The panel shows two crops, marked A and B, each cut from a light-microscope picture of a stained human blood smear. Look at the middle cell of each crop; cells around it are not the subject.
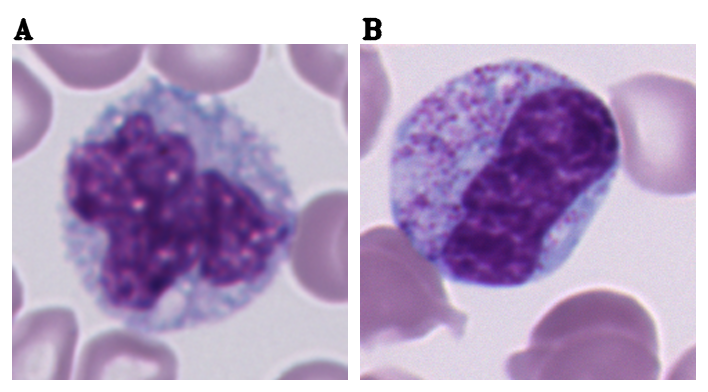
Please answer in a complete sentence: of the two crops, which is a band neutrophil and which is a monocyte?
In crop A the cell is a monocyte, while in crop B it is a band neutrophil.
